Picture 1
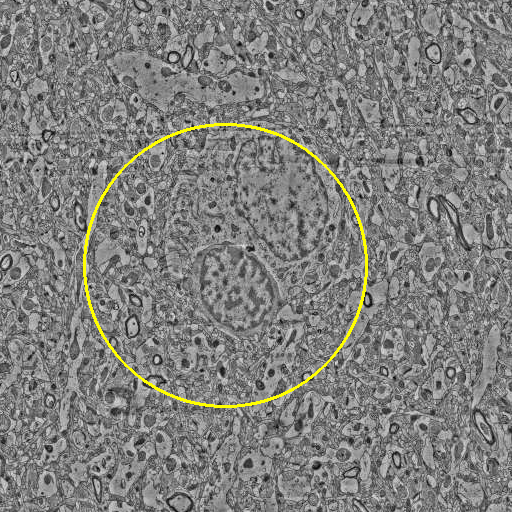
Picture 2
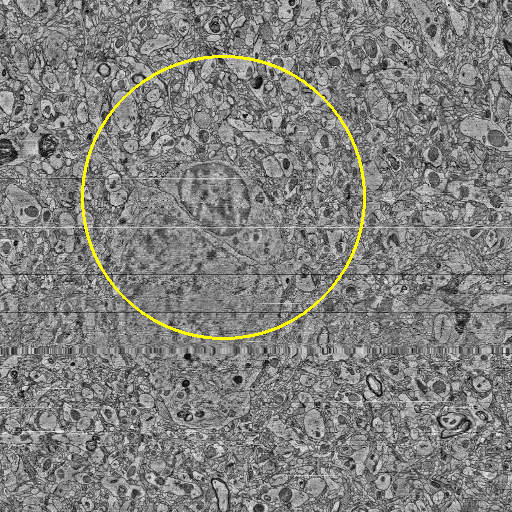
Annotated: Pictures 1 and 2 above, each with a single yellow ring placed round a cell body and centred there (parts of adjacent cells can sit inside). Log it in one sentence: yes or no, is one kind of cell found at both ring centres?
Yes, the ring centres of the two pictures hold cells of one kind.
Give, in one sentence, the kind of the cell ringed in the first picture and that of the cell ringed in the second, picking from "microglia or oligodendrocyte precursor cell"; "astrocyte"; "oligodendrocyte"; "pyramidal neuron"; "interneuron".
Each of the two rings surrounds an oligodendrocyte.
